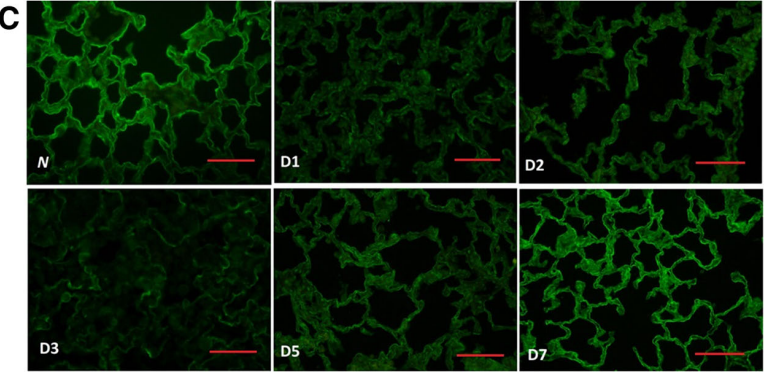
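Six fluorescence fields of lung tissue on a black background, with green signal lining the thin walls of the alveoli. In some fields the green traces a continuous, crisp network of septa outlining round and polygonal air spaces. In others the green is faint, patchy and granular, and the outlines of the air spaces are hard to follow, as if much of the lining has lost its staining.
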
